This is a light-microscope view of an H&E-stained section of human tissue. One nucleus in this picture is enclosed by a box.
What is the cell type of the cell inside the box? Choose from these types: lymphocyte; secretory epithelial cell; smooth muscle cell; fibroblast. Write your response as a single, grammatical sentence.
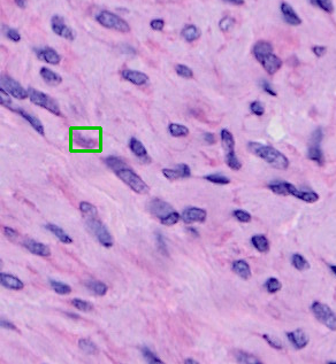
As a matter of cell type, the cell inside the box is a smooth muscle cell.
